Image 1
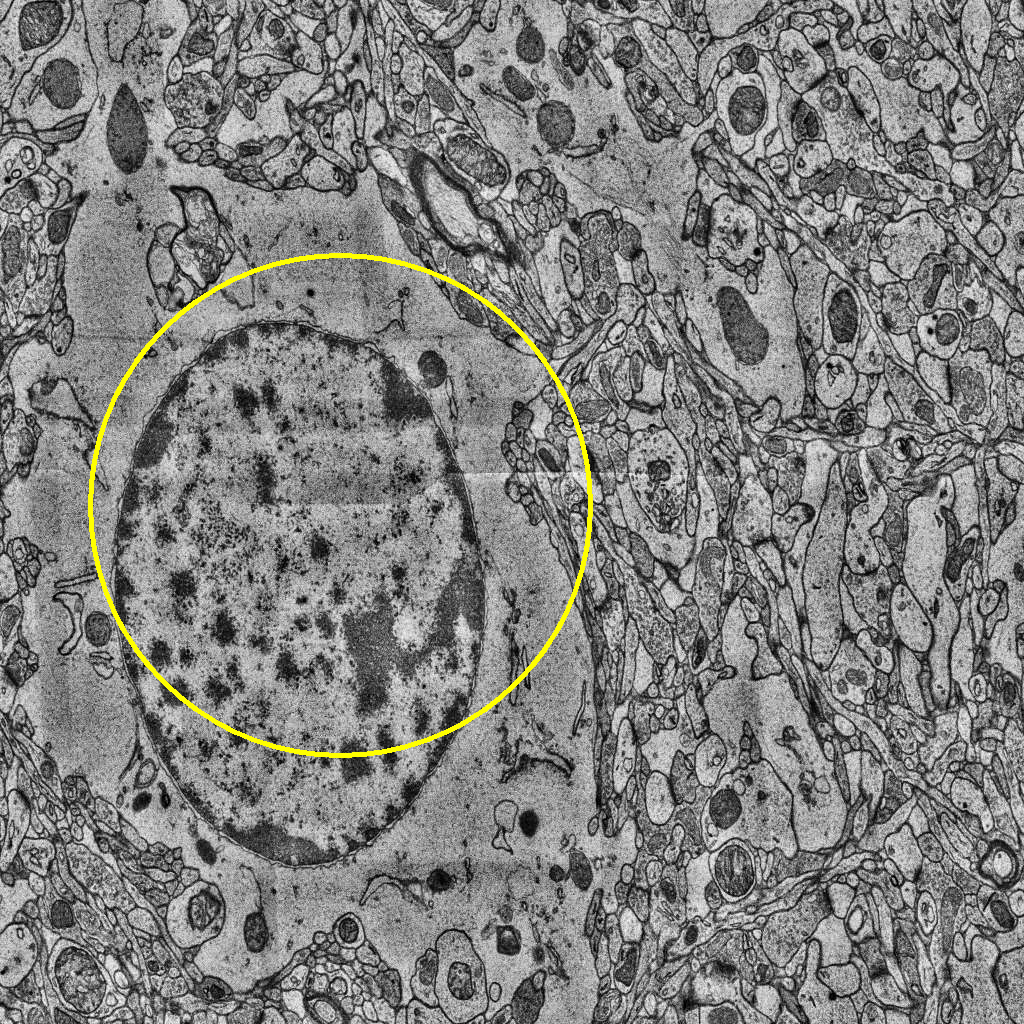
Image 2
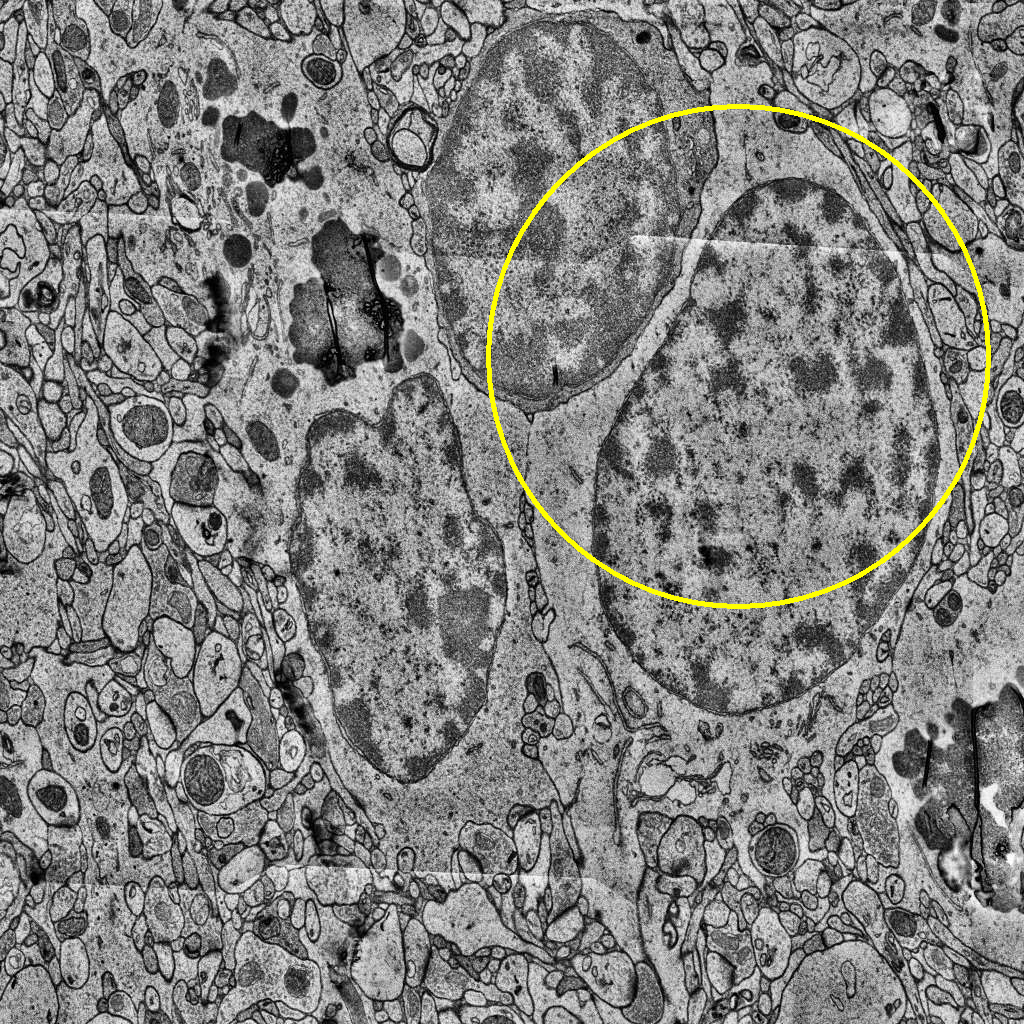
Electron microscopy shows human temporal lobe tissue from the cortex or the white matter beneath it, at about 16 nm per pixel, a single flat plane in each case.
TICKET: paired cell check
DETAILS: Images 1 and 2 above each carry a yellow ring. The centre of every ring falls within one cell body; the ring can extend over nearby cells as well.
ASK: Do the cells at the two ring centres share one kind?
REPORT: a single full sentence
Yes, the cells at the ring centres of Images 1 and 2 belong to a single kind.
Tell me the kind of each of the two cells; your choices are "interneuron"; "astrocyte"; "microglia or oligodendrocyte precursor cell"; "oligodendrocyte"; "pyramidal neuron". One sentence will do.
Each cell at the centre of a ring is an astrocyte.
